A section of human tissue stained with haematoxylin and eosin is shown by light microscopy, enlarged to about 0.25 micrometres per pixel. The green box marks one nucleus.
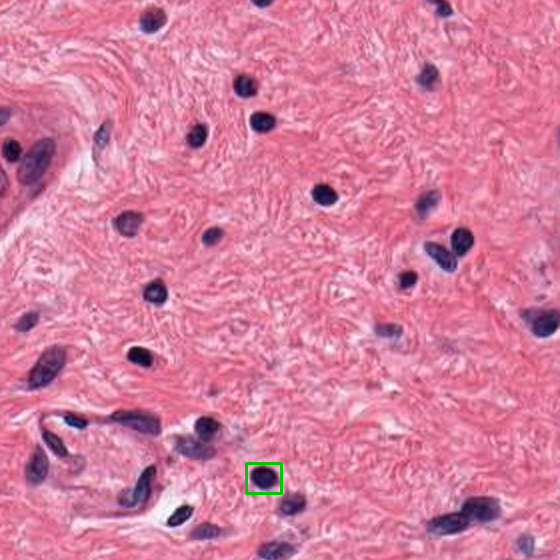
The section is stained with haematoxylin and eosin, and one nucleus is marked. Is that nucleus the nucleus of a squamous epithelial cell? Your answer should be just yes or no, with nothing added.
no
